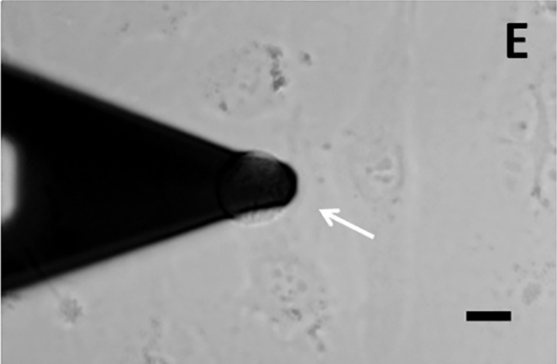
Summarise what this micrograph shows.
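A single rounded cell sits at the end of a dark, tapering cantilever that crosses the field from the left. In the background, the underlying cells appear as pale, flattened shapes with faint outlines and with oval nuclei that are dimly visible.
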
